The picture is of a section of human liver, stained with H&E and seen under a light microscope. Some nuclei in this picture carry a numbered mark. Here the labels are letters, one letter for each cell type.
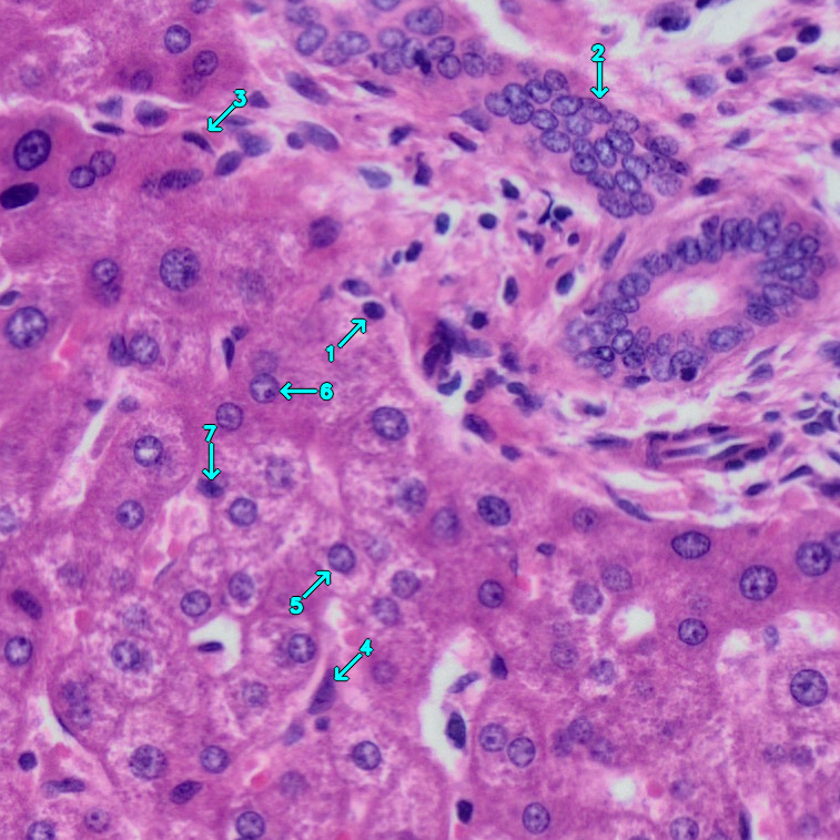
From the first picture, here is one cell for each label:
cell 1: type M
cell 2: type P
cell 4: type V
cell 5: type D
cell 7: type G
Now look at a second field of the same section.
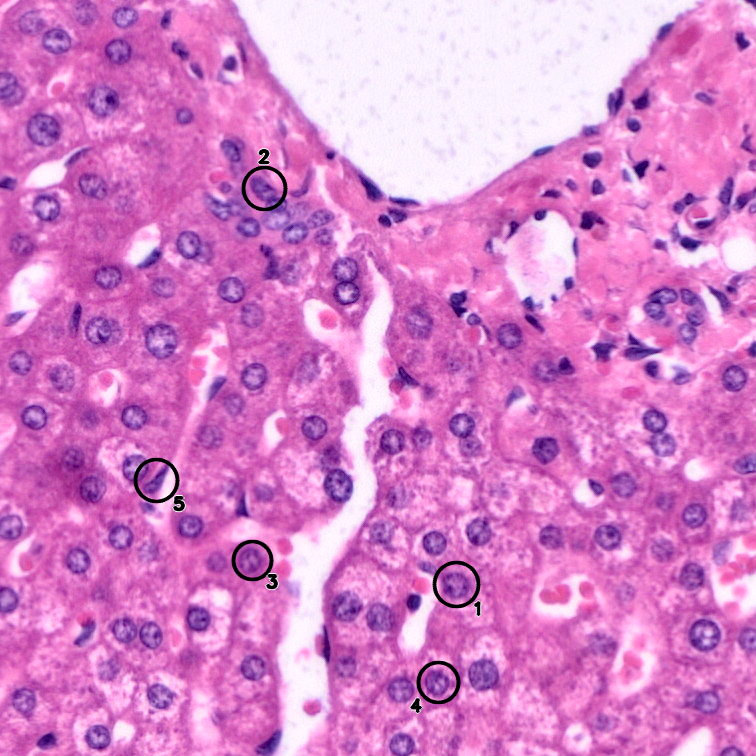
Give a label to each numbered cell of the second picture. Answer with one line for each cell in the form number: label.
1: type D
2: type P
3: type D
4: type D
5: type V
